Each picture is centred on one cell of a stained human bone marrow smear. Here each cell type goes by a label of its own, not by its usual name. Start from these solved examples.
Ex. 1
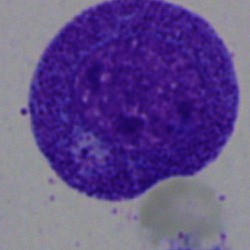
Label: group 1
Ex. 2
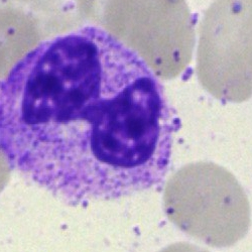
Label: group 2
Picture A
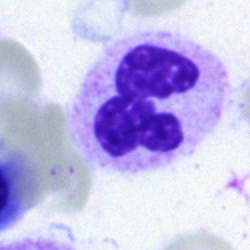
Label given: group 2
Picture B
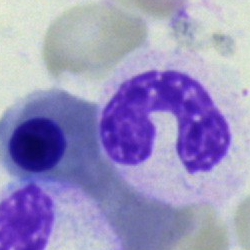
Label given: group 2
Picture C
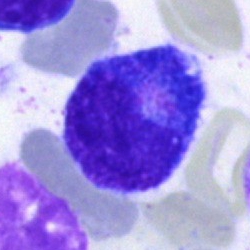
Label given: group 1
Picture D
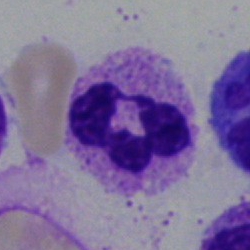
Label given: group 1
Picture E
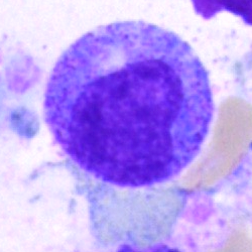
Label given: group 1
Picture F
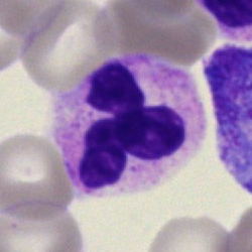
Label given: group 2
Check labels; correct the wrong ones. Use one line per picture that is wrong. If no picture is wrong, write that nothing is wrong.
D should be group 2, not group 1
